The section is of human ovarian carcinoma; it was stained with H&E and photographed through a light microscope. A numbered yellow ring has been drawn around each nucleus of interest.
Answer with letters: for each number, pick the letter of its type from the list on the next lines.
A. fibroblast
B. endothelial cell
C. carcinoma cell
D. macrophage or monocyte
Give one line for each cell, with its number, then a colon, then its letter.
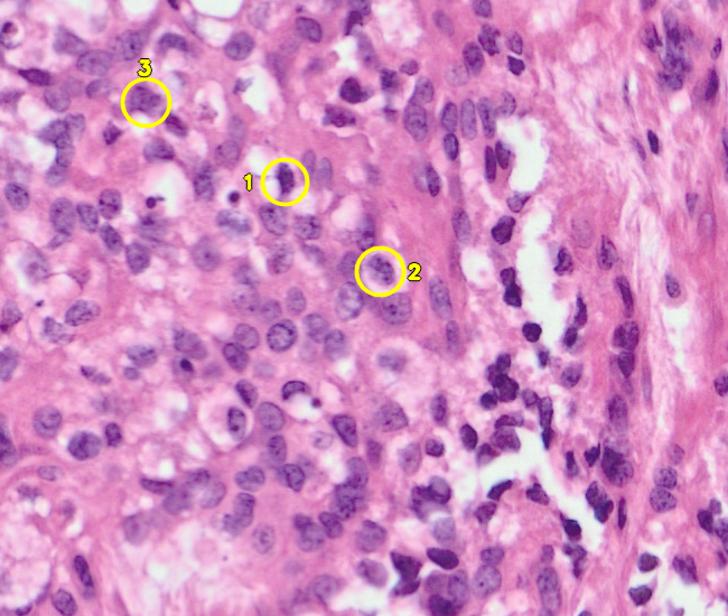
1: C
2: D
3: C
